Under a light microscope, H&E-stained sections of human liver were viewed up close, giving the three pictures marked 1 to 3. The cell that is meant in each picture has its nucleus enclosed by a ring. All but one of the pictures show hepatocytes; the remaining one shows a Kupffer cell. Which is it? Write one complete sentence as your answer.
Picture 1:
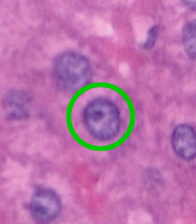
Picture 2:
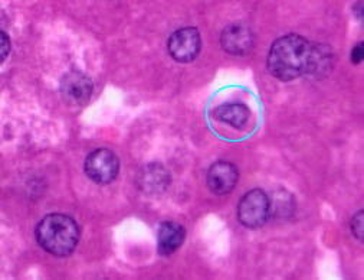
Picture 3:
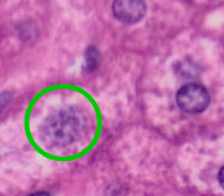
The Kupffer cell is the one in picture 2.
